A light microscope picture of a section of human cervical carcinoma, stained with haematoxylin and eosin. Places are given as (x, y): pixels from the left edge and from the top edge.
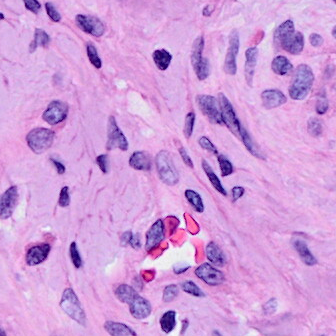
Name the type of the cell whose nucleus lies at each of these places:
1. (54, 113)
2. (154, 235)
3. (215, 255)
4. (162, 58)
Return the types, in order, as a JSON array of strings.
["endothelial cell", "endothelial cell", "endothelial cell", "lymphocyte"]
